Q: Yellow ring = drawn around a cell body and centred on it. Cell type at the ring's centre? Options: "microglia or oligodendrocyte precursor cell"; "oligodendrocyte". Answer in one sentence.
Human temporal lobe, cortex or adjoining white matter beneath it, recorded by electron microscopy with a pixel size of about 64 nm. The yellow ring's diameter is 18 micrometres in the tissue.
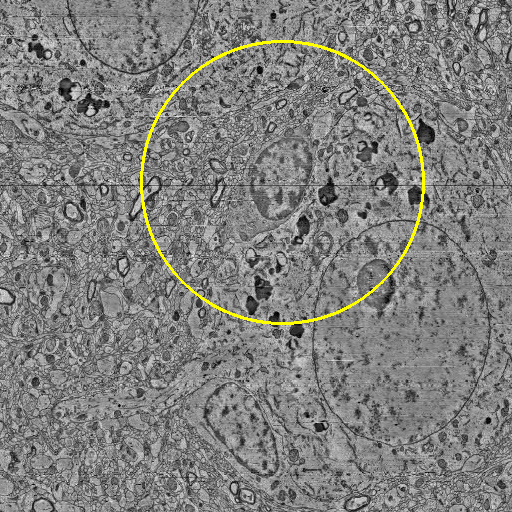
Centred in the ring is an oligodendrocyte.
